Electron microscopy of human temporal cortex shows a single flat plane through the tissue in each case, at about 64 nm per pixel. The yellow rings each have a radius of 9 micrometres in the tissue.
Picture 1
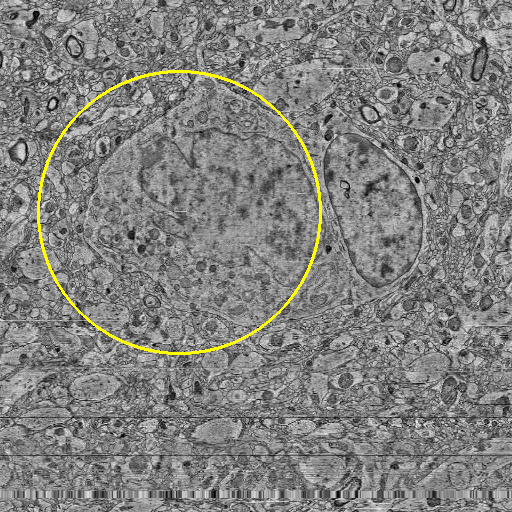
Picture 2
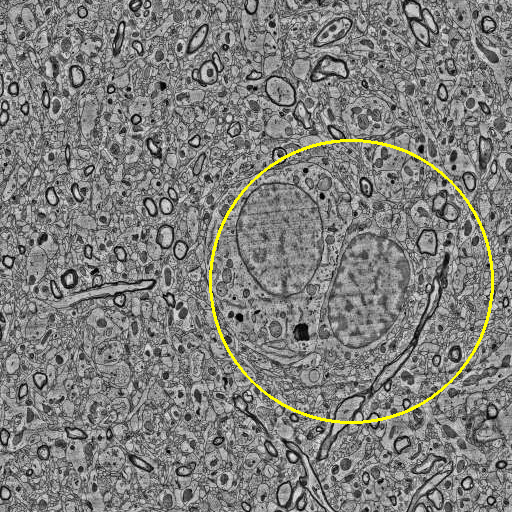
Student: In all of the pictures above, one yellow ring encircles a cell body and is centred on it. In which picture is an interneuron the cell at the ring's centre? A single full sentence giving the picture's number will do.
Picture number 1 has the wanted cell right at the centre of its ring.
